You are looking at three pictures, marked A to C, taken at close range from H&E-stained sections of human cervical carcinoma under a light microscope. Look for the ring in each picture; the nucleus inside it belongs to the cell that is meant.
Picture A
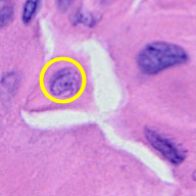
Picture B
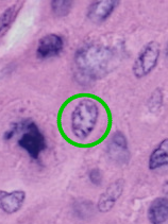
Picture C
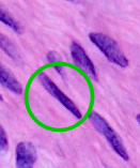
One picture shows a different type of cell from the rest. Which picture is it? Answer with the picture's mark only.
C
